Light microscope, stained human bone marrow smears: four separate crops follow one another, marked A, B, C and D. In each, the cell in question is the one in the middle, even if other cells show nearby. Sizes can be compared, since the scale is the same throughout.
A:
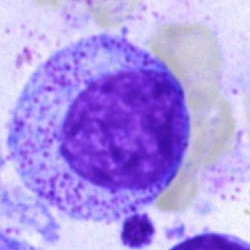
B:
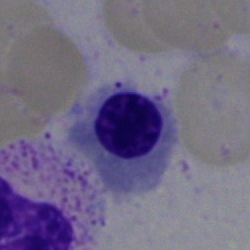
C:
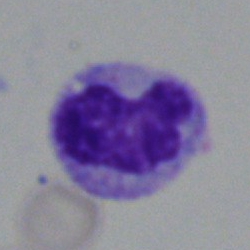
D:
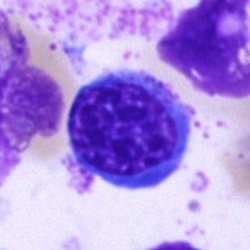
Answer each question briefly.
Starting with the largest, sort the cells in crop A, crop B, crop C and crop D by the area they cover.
A, C, D, B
